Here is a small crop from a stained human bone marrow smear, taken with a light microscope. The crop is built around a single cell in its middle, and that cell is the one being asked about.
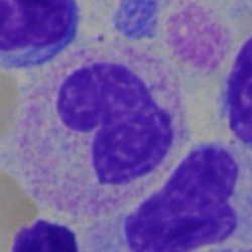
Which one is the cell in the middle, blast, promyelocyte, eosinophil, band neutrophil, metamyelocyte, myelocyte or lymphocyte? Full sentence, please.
What sits at the centre of this crop is a band neutrophil.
